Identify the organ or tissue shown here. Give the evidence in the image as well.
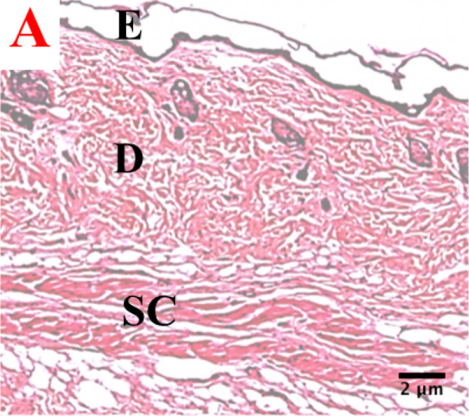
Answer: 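A thin surface epithelial layer lies over a thick layer of pink wavy fibrous connective tissue. Small adnexal structures sit within the fibrous layer. Bands of dense pink tissue and pale fat cells lie at the bottom. The answer: skin.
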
